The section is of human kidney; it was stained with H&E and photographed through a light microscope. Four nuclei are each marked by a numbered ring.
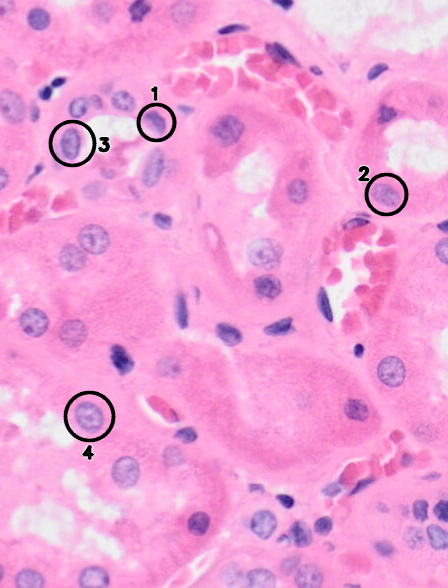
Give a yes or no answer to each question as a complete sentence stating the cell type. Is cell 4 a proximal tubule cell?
Yes, the cell carrying number 4 is a proximal tubule cell.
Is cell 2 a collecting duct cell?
No, the cell with number 2 is not a collecting duct cell but a proximal tubule cell.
